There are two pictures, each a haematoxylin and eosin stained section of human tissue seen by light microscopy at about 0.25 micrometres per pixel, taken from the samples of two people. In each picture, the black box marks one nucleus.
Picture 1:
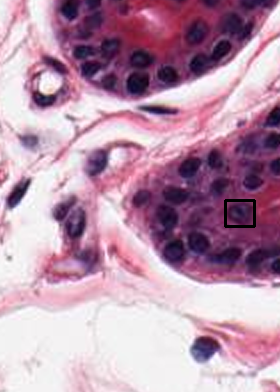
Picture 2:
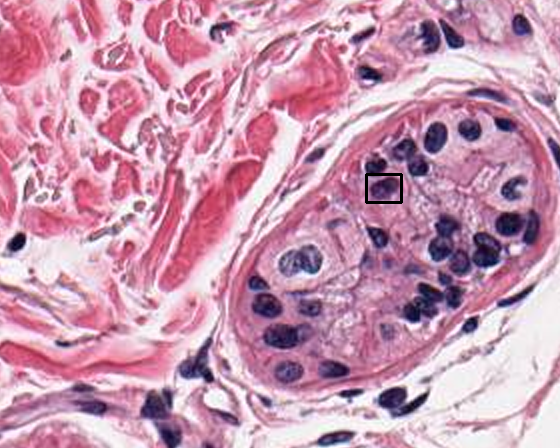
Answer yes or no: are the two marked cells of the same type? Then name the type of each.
Yes, both are sweat gland cells.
